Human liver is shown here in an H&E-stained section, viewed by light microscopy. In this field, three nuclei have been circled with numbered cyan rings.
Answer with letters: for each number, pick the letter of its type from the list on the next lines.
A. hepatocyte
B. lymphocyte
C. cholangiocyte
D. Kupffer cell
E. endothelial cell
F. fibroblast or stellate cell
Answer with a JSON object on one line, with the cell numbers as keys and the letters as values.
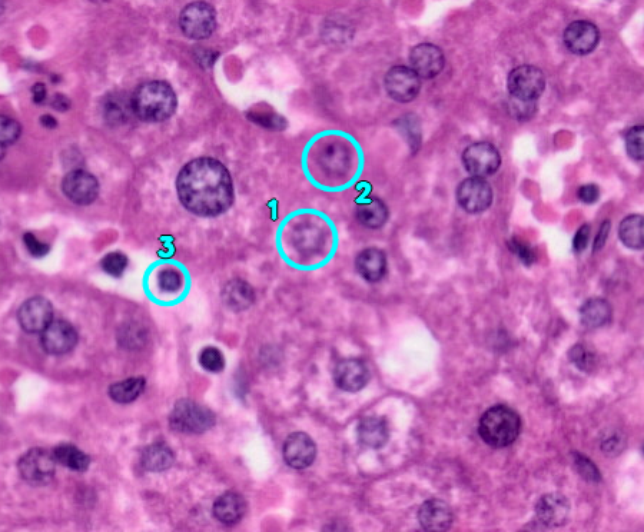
{"1": "A", "2": "A", "3": "B"}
